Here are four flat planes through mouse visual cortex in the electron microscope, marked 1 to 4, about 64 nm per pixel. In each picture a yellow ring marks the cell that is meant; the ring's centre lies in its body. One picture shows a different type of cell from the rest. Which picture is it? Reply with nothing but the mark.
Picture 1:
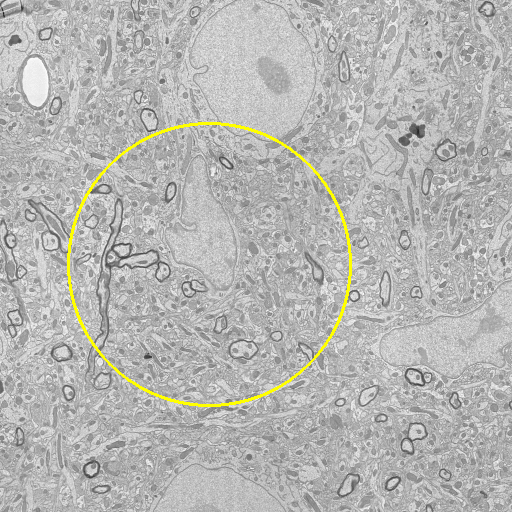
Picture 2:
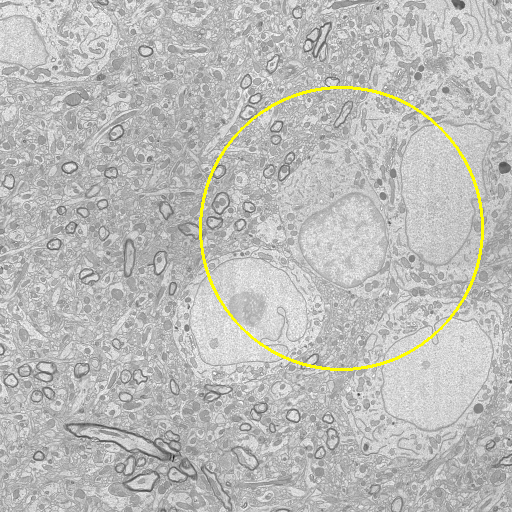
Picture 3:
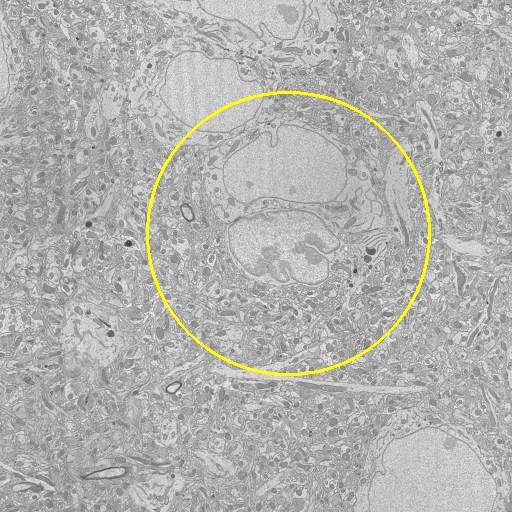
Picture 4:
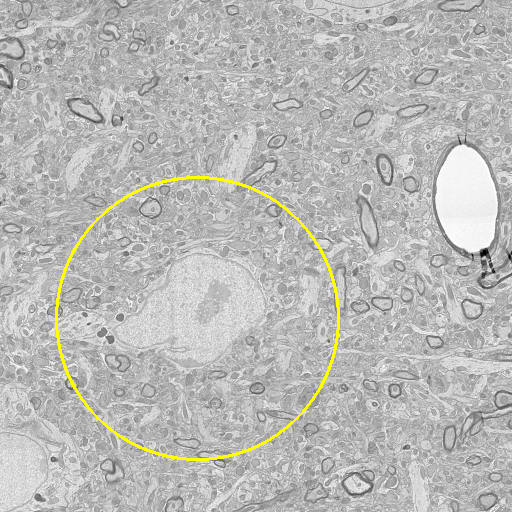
2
